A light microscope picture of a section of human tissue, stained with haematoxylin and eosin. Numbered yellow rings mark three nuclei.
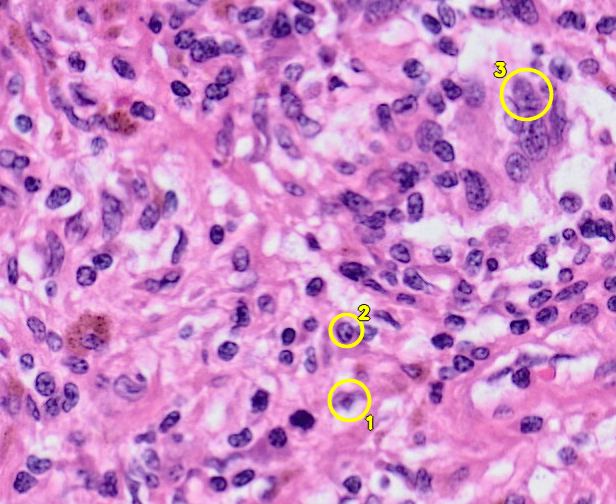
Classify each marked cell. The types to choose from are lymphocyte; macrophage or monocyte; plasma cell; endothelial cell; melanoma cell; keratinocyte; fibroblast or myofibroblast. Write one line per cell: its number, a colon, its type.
1: fibroblast or myofibroblast
2: plasma cell
3: melanoma cell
